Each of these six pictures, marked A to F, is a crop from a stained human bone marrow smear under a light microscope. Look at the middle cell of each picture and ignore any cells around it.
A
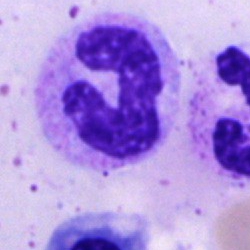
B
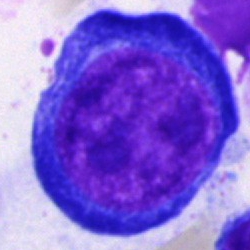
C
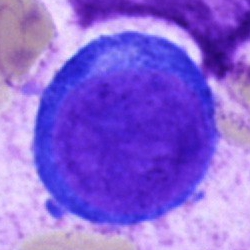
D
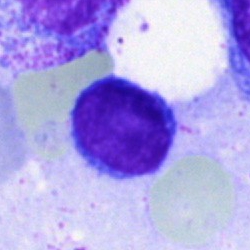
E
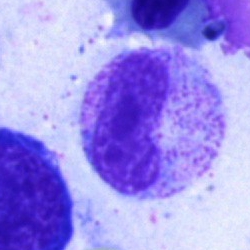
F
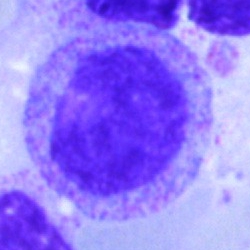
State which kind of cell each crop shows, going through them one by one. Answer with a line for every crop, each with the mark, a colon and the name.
A: band neutrophil
B: proerythroblast
C: proerythroblast
D: lymphocyte
E: band neutrophil
F: myelocyte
